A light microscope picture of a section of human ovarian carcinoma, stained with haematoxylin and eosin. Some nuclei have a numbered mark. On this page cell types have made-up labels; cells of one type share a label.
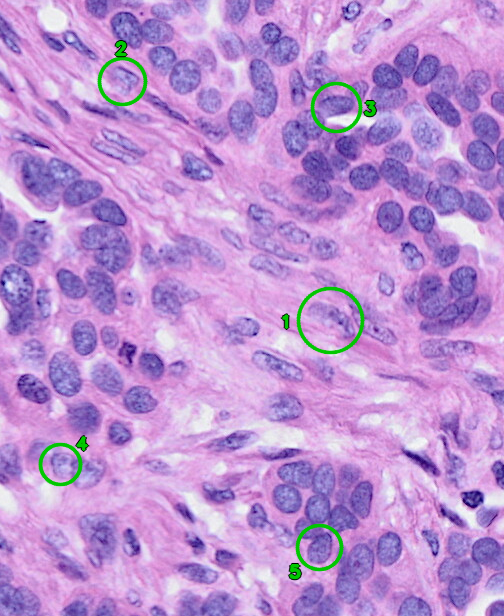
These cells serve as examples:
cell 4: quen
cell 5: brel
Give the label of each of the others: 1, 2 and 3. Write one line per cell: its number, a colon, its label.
1: quen
2: quen
3: brel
